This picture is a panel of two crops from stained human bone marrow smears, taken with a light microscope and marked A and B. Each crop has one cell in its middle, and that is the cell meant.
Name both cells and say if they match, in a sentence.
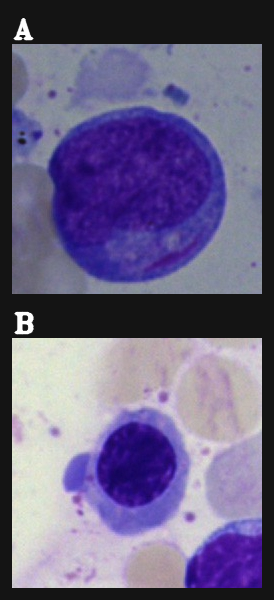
No, a blast occupies the middle of crop A, and an erythroblast the middle of crop B.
